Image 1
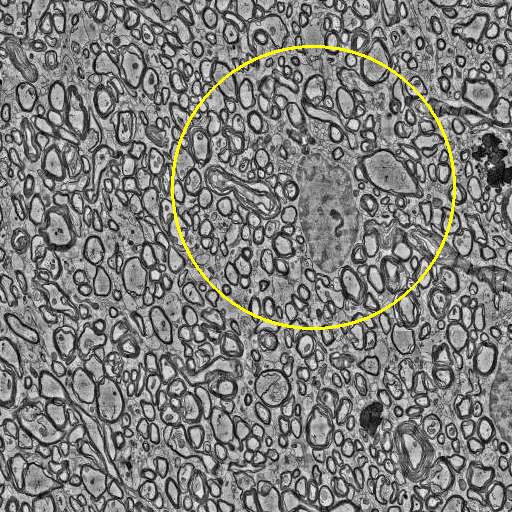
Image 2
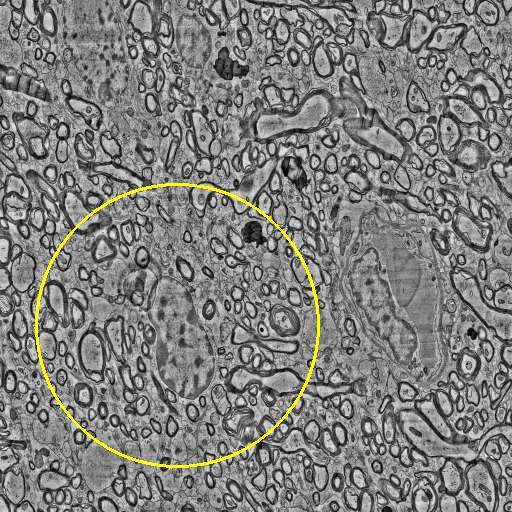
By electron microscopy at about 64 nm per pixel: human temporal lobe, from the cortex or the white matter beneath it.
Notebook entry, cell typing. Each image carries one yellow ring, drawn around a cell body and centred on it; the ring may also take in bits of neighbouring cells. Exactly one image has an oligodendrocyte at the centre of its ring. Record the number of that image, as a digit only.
1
